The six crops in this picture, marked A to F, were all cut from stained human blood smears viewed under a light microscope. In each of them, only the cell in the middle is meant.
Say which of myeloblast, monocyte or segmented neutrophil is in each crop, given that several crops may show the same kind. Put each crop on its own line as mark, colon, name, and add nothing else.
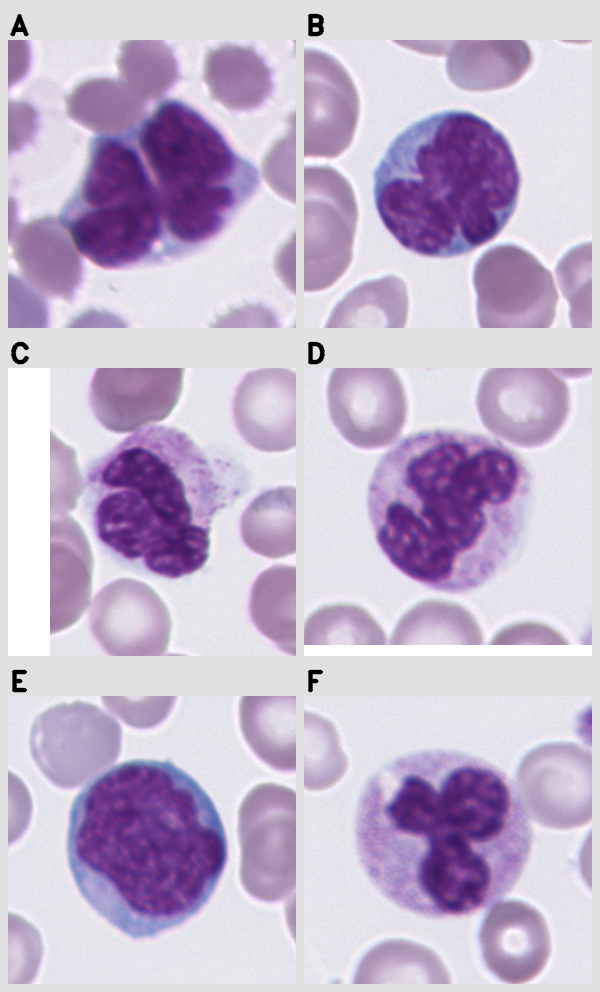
A: monocyte
B: myeloblast
C: segmented neutrophil
D: segmented neutrophil
E: myeloblast
F: segmented neutrophil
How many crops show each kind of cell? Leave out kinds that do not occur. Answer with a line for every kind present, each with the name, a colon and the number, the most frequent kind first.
segmented neutrophil: 3
myeloblast: 2
monocyte: 1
